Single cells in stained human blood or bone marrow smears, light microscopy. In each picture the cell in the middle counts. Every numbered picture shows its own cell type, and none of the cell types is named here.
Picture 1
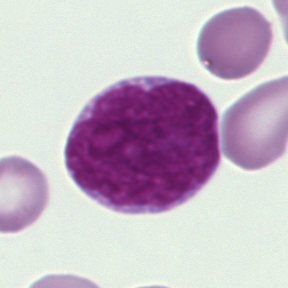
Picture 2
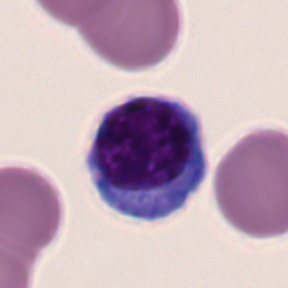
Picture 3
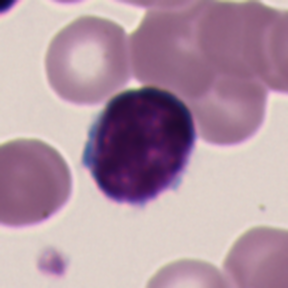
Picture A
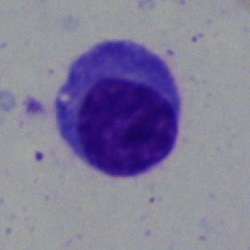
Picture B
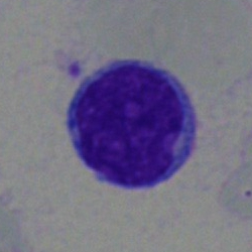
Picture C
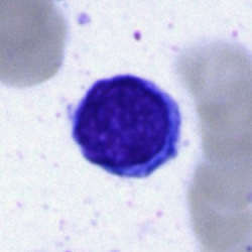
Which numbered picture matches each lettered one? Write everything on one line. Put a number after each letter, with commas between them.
A 2, B 3, C 3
